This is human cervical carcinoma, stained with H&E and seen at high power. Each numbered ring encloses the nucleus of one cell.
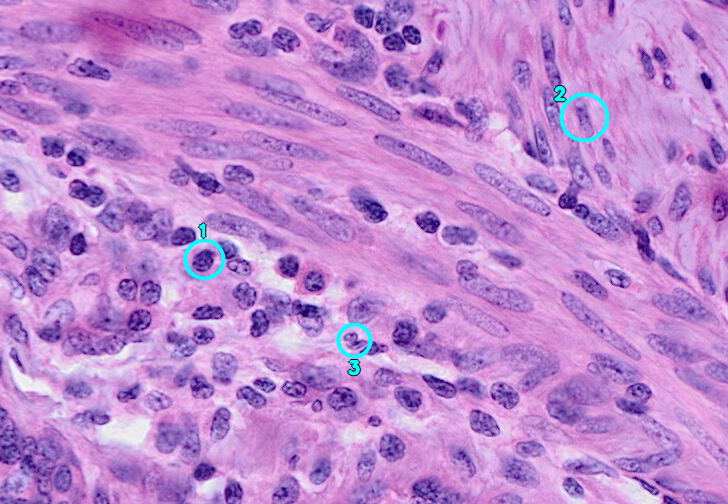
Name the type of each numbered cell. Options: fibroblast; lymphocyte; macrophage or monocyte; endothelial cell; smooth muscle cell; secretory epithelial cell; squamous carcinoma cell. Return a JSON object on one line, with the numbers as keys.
{"1": "lymphocyte", "2": "smooth muscle cell", "3": "lymphocyte"}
